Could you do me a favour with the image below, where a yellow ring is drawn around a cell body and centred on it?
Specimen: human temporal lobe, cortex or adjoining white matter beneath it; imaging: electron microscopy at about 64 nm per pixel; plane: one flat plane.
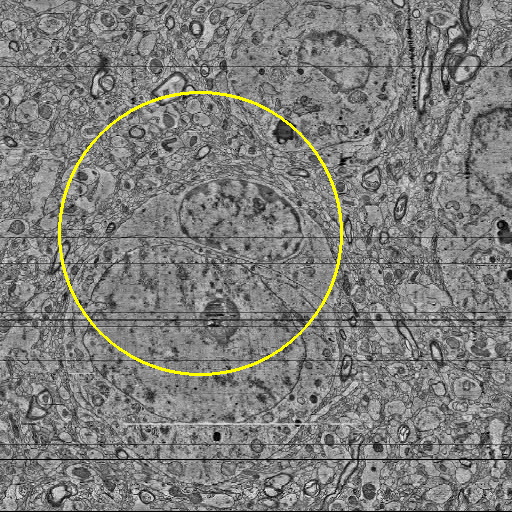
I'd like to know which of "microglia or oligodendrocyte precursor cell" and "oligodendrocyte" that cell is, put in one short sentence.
The cell at the ring's centre is a microglial cell or oligodendrocyte precursor cell.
